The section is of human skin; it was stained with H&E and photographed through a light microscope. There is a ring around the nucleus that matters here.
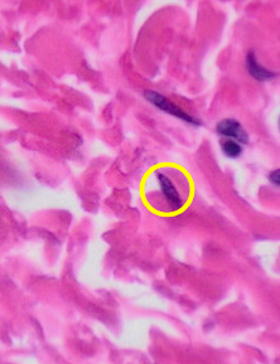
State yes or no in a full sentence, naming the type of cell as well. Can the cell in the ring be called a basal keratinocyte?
No, the cell in the ring is a fibroblast rather than a basal keratinocyte.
